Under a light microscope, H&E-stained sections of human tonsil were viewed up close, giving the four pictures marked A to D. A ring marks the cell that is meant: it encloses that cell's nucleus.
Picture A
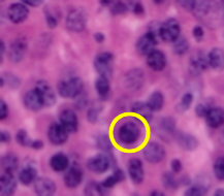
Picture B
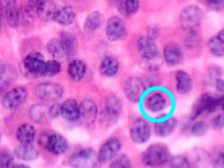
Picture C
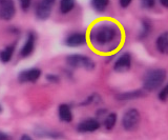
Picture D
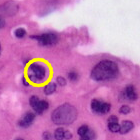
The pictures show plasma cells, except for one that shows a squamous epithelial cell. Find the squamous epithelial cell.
D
